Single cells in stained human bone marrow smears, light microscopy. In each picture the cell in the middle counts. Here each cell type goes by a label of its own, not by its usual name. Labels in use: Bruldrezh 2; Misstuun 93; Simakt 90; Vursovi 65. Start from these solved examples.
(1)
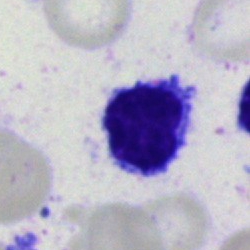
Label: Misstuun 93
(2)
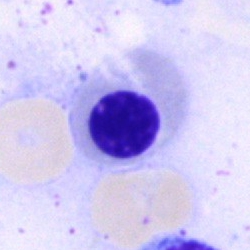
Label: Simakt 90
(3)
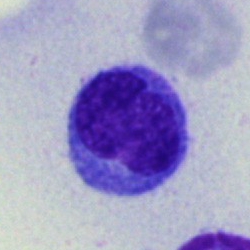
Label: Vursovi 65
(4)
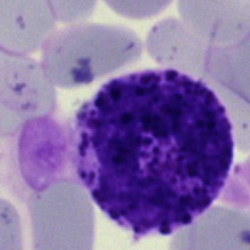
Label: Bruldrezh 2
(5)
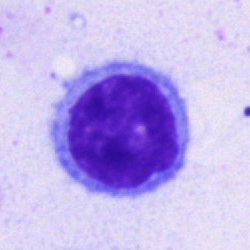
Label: Misstuun 93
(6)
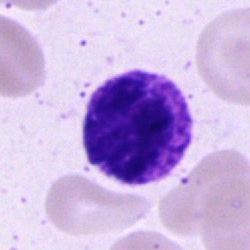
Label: Bruldrezh 2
